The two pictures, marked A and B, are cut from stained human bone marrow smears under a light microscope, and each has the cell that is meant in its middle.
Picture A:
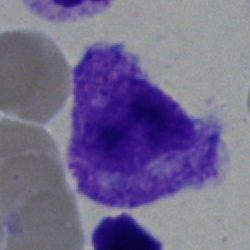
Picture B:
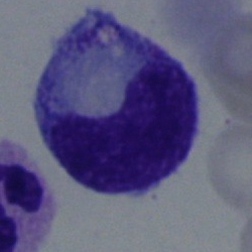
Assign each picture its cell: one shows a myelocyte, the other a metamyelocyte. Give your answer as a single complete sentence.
It is picture A that shows a myelocyte, and picture B that shows a metamyelocyte.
